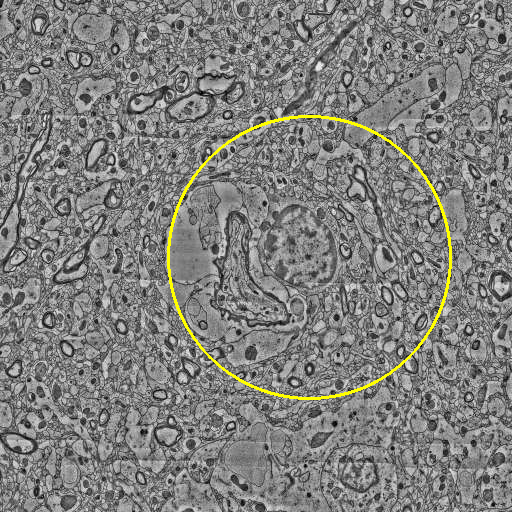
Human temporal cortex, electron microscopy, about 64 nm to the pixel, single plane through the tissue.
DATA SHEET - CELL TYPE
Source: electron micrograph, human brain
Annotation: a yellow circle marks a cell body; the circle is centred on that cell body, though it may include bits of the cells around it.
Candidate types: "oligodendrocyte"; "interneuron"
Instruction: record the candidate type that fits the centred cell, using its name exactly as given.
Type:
oligodendrocyte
